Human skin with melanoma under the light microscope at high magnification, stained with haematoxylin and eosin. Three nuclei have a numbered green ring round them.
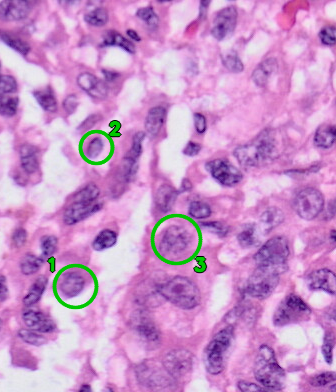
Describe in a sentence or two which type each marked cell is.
Cells 1 and 3 are melanoma cells. Cell 2 is a macrophage or monocyte.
